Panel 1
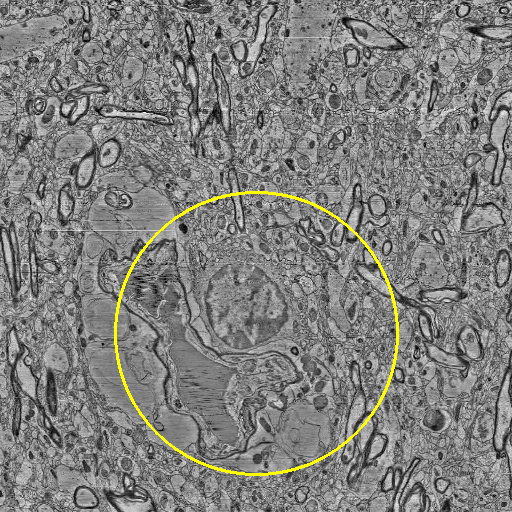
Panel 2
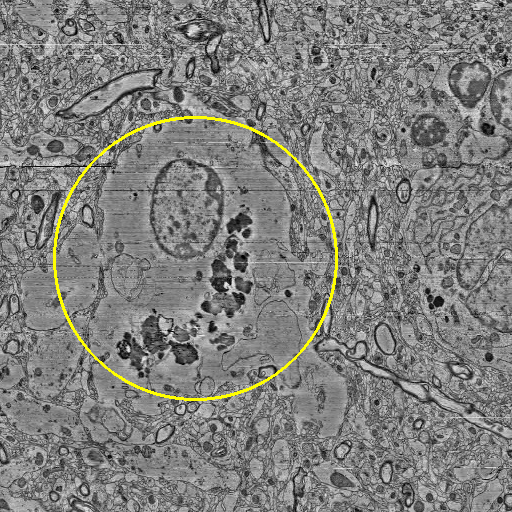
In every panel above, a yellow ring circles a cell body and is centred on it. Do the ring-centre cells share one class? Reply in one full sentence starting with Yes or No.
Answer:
No, the two cells at the ring centres in the panels belong to two classes.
